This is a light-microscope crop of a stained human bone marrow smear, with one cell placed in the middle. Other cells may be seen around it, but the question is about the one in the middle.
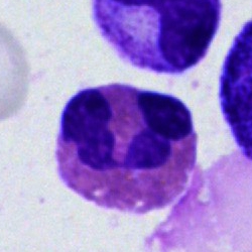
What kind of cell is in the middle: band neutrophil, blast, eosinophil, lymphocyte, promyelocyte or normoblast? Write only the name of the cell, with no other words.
eosinophil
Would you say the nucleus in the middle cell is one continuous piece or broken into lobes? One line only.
Look at the nucleus and you will find it divided into two or more lobes.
